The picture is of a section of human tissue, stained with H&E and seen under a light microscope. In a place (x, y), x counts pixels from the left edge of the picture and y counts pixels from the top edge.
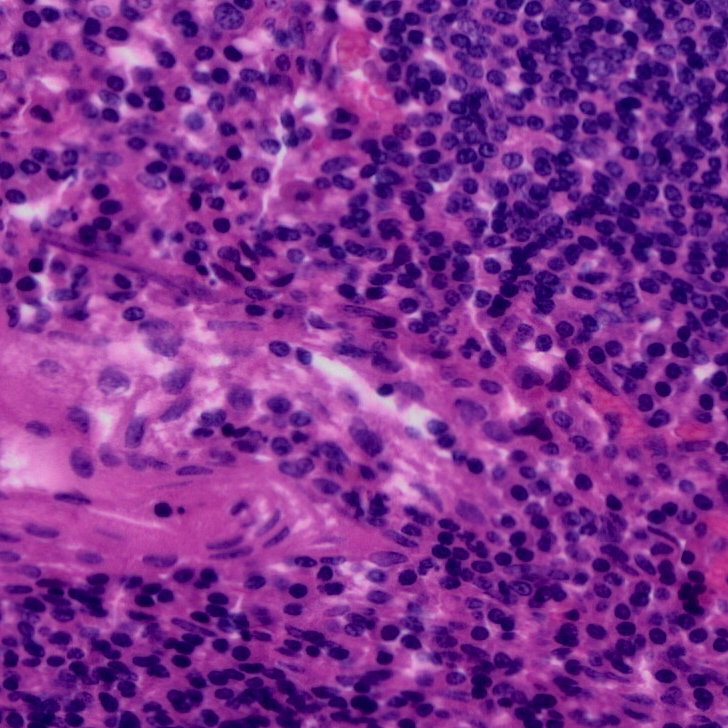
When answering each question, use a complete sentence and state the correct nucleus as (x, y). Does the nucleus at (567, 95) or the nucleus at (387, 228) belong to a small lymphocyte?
The nucleus found at (567, 95) belongs to a small lymphocyte.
